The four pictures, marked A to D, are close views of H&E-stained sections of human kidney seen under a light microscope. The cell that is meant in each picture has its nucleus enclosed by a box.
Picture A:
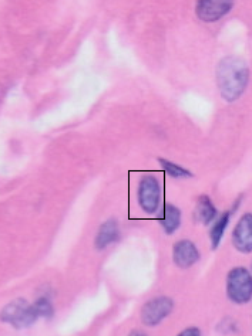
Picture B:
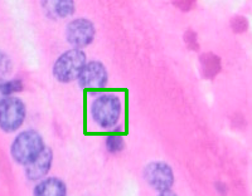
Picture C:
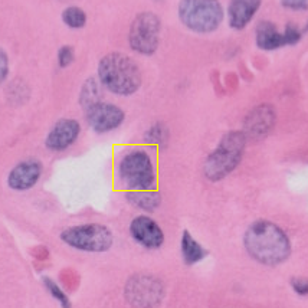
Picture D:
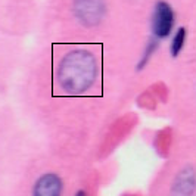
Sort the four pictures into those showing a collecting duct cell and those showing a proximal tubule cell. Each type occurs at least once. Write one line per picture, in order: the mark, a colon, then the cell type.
A: collecting duct cell
B: collecting duct cell
C: collecting duct cell
D: proximal tubule cell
